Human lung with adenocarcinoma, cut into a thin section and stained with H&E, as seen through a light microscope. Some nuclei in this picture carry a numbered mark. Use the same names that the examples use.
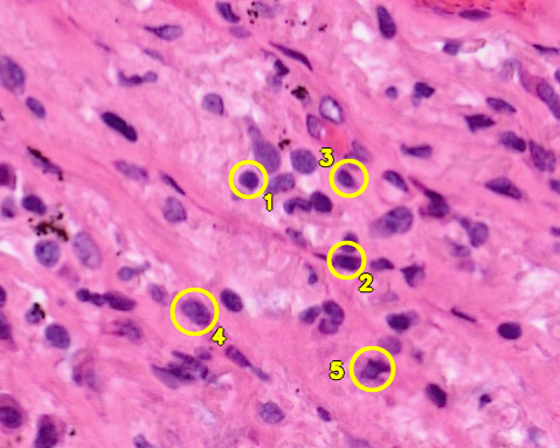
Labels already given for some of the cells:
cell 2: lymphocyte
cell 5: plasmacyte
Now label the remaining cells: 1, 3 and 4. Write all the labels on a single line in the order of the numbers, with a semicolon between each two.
lymphocyte; lymphocyte; plasmacyte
